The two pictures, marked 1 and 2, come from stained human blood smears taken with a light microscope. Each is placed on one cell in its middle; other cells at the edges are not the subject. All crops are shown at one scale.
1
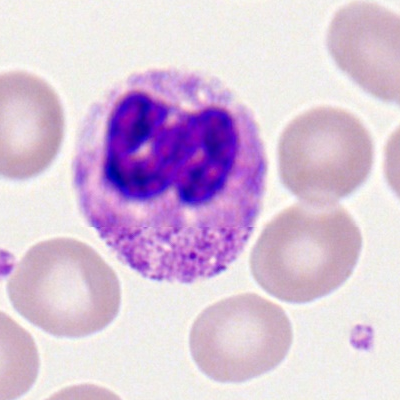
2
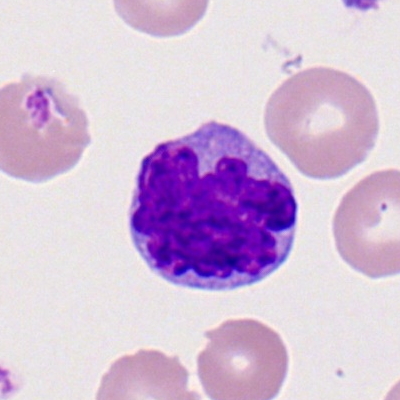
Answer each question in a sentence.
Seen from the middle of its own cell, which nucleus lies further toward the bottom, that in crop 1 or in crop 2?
The nucleus in crop 2 lies further toward the bottom of its cell.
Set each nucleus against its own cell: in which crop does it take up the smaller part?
Of the two, the nucleus in crop 1 leaves more room for cytoplasm.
